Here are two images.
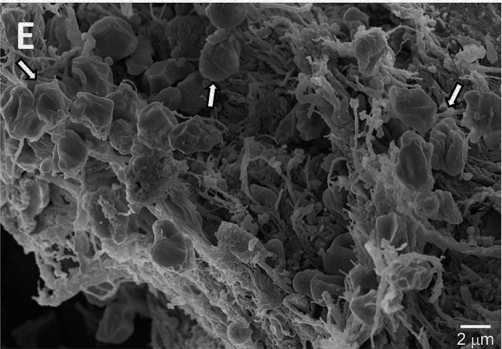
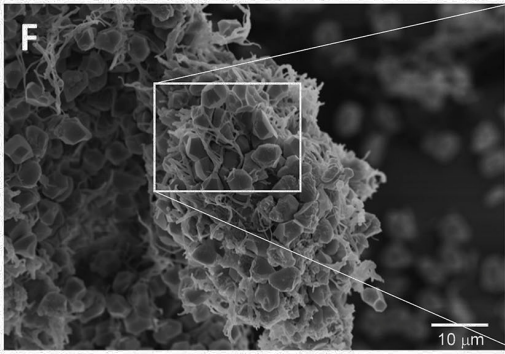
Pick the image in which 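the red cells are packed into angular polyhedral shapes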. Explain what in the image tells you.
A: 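The second image. Second image: the cells are mostly angular with flat faces and pressed tightly together. First image: many cells still have rounded, irregular intermediate forms with fibres between them.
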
